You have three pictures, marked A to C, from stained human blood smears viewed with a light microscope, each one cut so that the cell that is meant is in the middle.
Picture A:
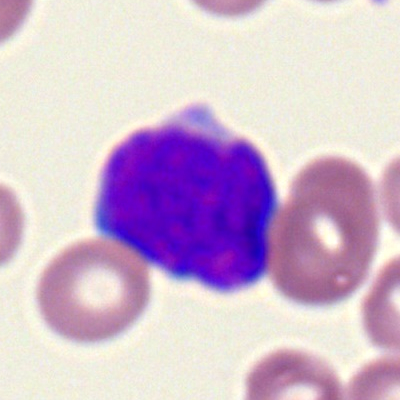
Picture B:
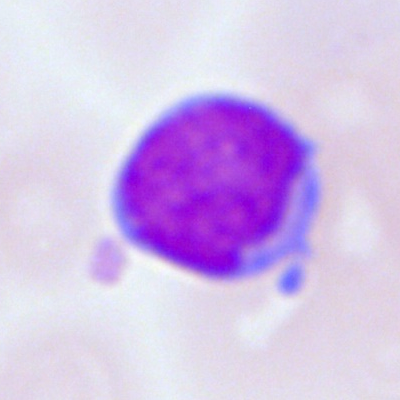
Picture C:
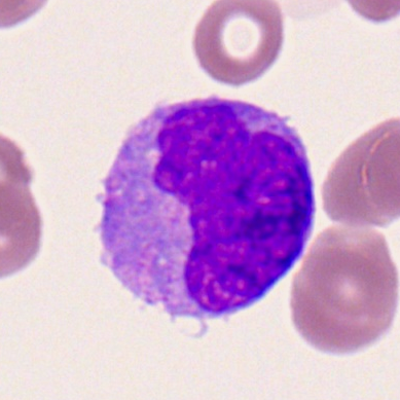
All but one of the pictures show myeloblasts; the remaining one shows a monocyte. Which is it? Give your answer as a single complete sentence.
Picture C is the one that shows the monocyte.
